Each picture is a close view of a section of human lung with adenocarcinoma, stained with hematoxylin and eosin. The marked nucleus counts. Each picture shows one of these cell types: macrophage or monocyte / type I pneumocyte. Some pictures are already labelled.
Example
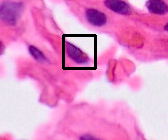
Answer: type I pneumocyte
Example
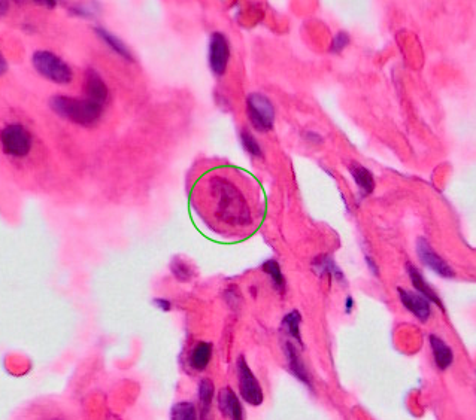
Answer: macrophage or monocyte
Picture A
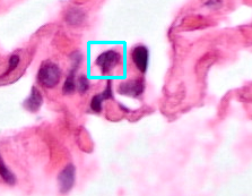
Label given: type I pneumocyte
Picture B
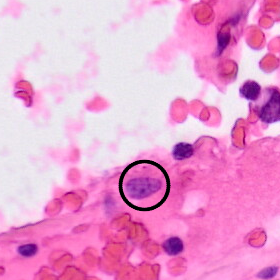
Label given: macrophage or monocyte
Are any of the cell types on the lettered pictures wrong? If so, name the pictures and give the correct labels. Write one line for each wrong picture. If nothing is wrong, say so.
B: type I pneumocyte, not macrophage or monocyte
